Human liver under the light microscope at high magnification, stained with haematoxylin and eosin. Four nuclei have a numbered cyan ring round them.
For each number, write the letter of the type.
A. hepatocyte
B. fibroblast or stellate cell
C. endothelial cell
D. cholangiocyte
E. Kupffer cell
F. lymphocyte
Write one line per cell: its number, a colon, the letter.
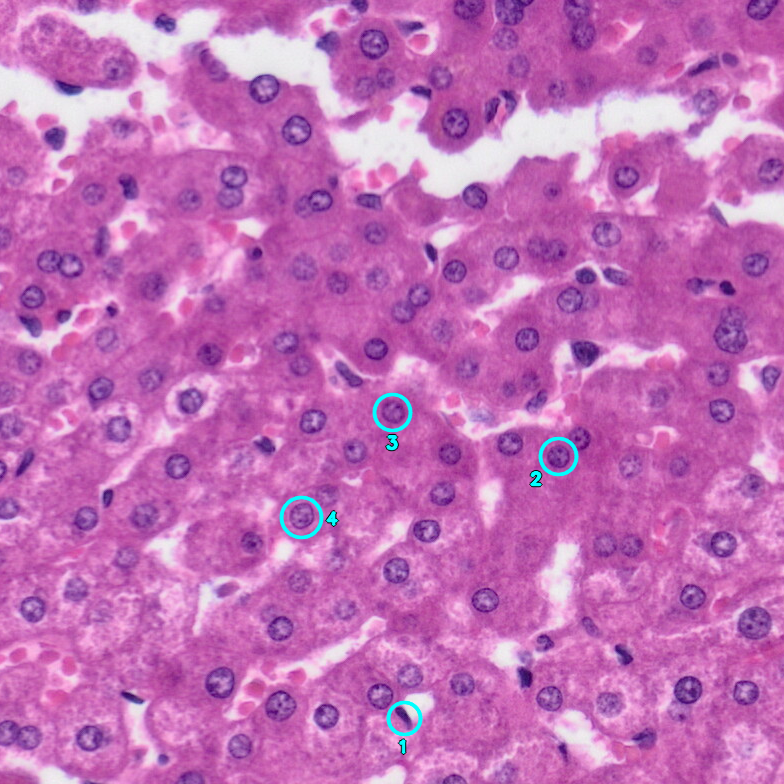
1: C
2: A
3: A
4: A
